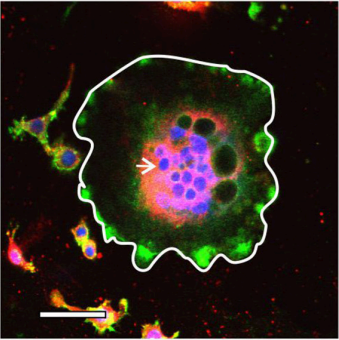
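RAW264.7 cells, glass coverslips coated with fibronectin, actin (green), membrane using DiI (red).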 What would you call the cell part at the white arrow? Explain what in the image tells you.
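Osteoclast nucleus. The arrow tips on one round blue body within a central cluster of such bodies.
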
